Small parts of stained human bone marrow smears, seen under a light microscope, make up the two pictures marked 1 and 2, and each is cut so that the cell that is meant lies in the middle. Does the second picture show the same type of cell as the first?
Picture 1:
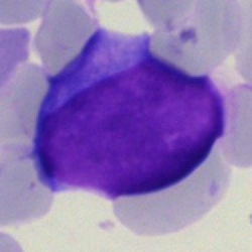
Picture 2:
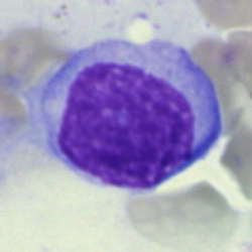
yes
